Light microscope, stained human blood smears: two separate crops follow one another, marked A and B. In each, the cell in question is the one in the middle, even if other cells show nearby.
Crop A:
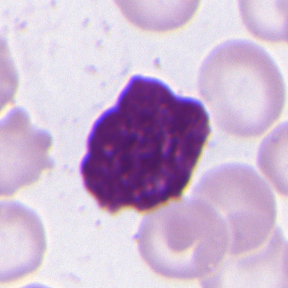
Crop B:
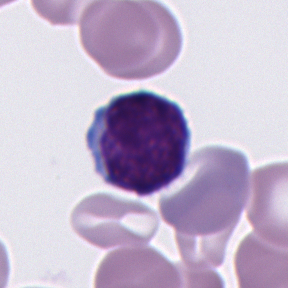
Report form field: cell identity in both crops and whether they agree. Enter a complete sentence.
No, within crop A lies a smudge cell, and within crop B lies a typical lymphocyte.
